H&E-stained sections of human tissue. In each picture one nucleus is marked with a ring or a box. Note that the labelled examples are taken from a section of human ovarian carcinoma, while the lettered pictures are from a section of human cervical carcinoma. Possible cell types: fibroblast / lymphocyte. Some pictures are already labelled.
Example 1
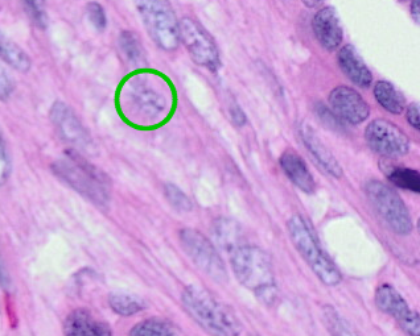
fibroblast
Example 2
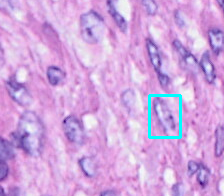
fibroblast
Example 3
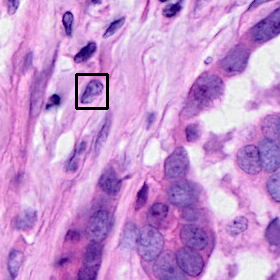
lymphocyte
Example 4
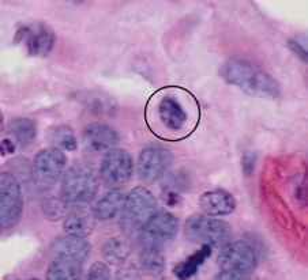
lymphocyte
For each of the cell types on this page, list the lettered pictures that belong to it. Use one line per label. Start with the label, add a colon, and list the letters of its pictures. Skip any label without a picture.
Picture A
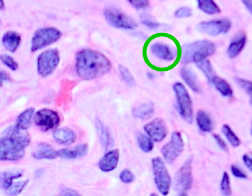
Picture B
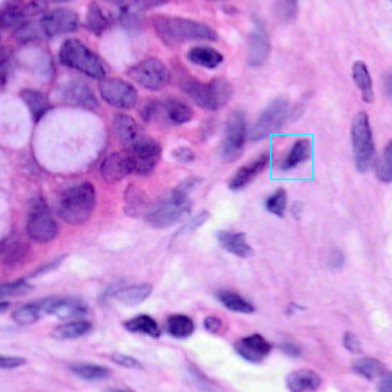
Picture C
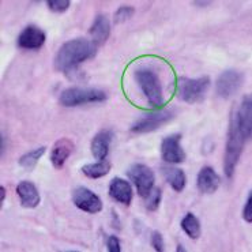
fibroblast: A, B, C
